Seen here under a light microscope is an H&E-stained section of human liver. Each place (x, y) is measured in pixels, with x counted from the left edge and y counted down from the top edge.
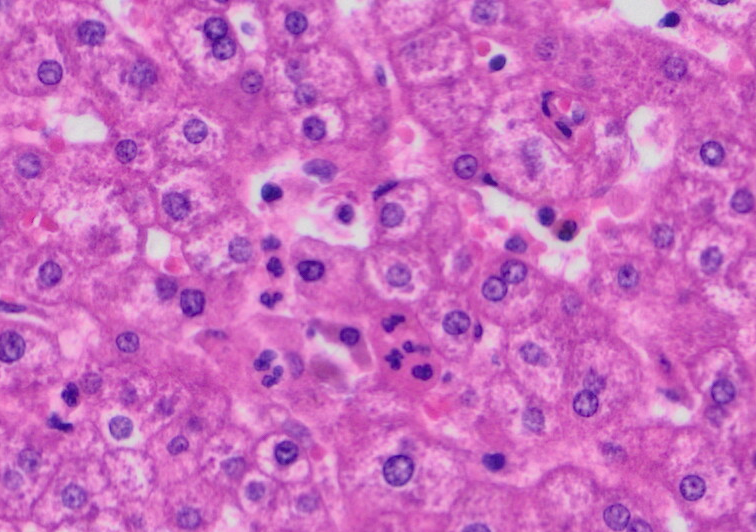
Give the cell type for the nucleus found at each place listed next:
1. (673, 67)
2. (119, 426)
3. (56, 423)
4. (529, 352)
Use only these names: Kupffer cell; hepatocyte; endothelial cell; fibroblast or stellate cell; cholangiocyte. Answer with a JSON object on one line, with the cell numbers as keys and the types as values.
{"1": "hepatocyte", "2": "hepatocyte", "3": "endothelial cell", "4": "hepatocyte"}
